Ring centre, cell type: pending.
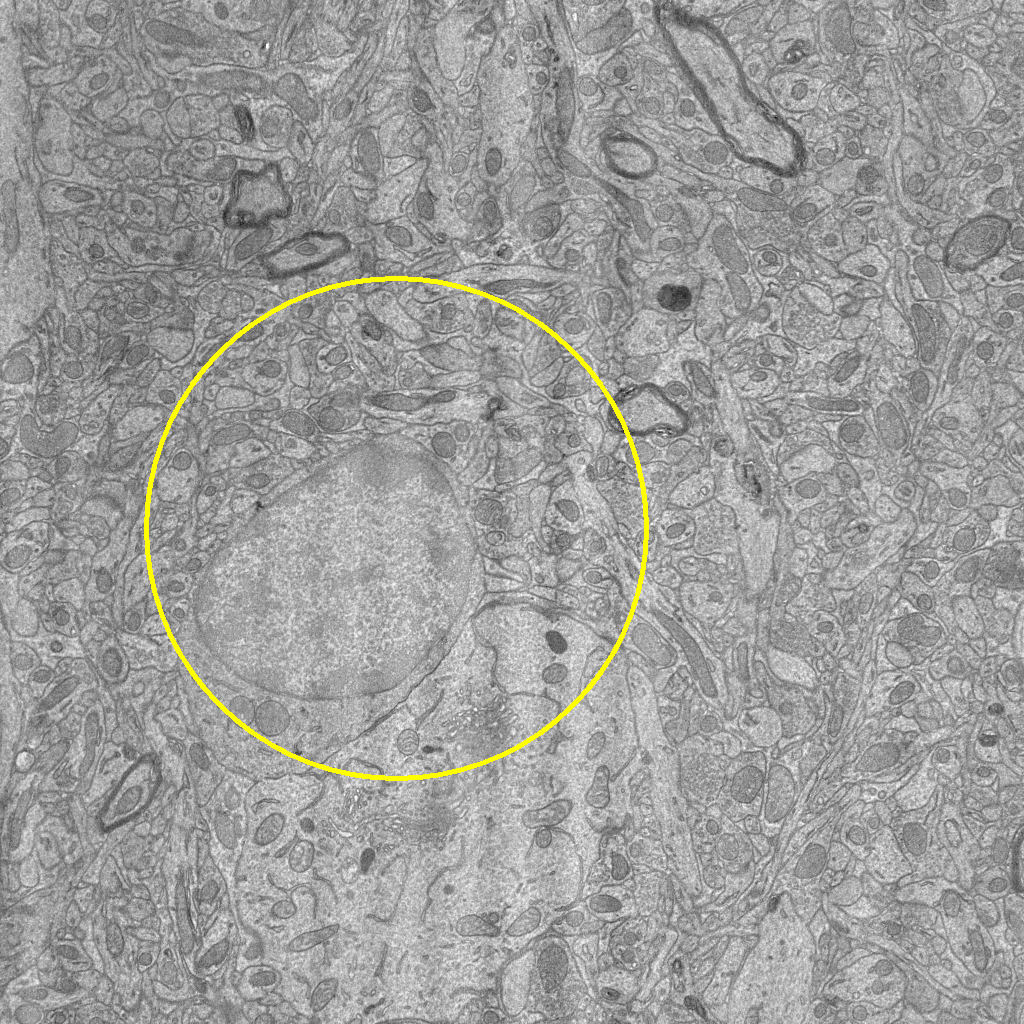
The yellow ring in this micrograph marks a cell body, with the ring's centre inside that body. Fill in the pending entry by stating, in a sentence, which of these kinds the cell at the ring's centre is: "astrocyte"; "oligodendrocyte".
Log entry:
The cell at the ring's centre is recorded as an oligodendrocyte.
